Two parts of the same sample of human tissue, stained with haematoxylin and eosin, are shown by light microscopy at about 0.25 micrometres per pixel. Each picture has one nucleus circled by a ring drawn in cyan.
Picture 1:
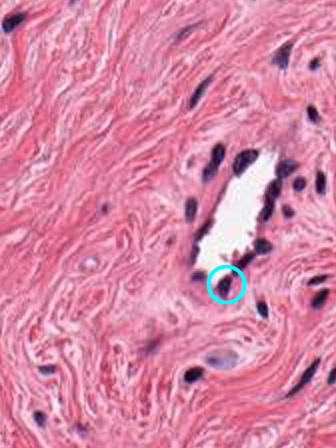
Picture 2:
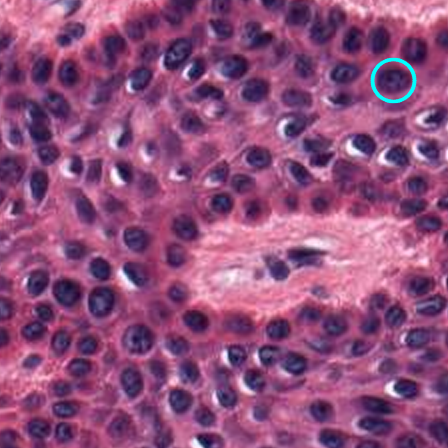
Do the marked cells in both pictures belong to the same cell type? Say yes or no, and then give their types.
No, the first is an endothelial cell and the second a squamous epithelial cell.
